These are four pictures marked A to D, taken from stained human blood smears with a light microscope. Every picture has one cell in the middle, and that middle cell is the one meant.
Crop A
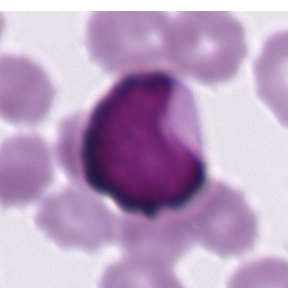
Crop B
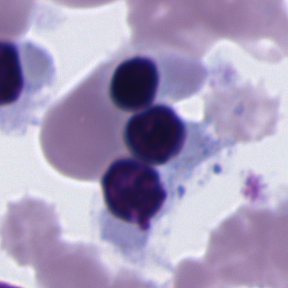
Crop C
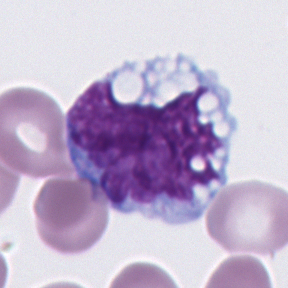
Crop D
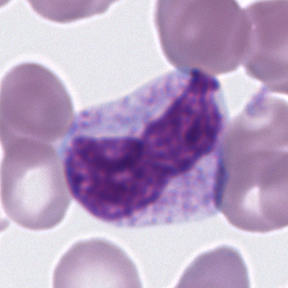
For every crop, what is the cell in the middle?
A: myeloblast
B: normoblast
C: monocyte
D: band neutrophil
